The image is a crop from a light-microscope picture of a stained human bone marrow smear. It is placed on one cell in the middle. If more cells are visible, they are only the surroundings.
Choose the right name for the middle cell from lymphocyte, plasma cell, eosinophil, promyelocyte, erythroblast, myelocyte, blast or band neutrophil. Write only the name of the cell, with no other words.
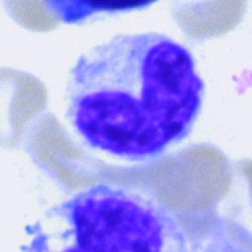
band neutrophil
